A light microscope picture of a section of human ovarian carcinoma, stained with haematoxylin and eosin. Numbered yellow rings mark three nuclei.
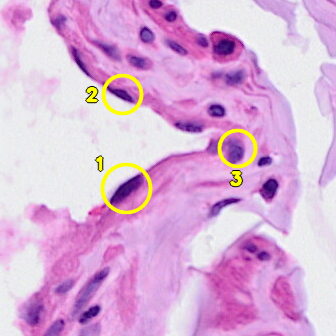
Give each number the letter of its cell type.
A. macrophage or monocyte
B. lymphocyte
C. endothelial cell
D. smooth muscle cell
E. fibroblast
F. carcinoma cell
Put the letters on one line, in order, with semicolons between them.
C; C; D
